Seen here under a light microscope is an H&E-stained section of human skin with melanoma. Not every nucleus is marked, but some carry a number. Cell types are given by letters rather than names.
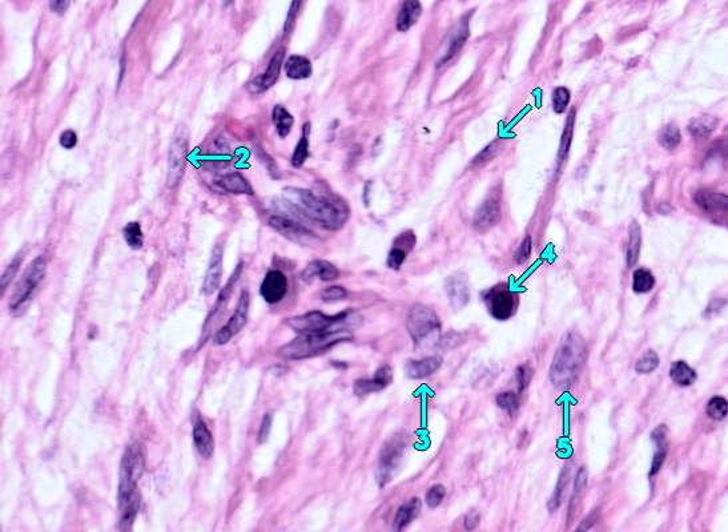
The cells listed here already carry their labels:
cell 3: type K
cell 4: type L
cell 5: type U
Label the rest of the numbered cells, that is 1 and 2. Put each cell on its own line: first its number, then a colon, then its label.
1: type U
2: type U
